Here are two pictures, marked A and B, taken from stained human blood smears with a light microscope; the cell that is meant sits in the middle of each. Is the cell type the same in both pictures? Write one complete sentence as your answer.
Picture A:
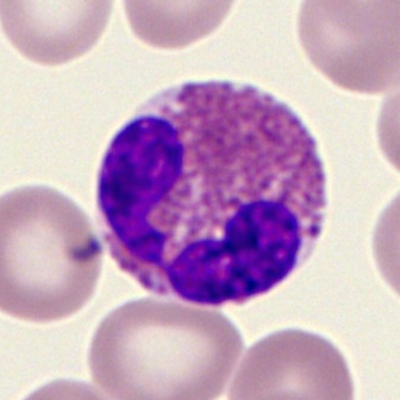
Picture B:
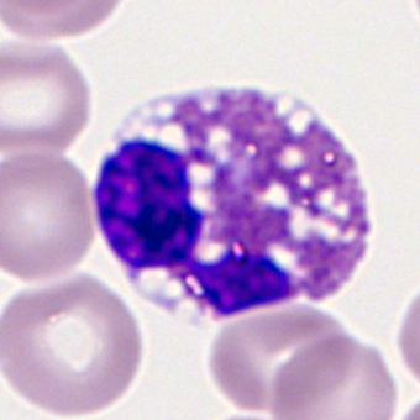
Yes, they are the same type: both are eosinophils.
